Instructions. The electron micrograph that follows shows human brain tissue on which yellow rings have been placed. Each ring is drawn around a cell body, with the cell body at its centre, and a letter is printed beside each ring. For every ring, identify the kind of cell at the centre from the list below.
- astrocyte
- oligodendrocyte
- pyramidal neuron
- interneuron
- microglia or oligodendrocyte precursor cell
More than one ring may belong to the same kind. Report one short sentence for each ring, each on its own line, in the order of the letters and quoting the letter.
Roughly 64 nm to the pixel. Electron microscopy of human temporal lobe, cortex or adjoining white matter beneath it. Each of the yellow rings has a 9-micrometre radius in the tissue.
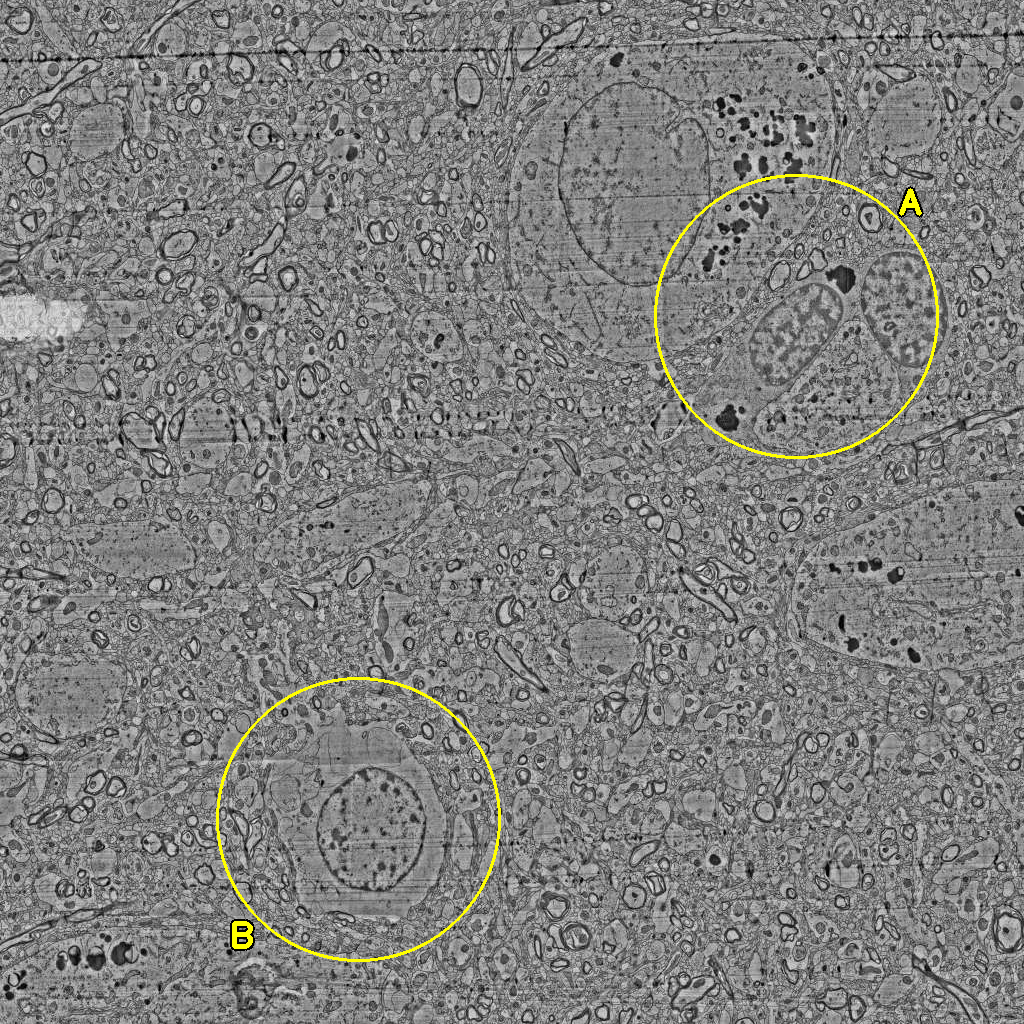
The centre of ring A is occupied by an oligodendrocyte.
The centre of ring B is occupied by an astrocyte.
